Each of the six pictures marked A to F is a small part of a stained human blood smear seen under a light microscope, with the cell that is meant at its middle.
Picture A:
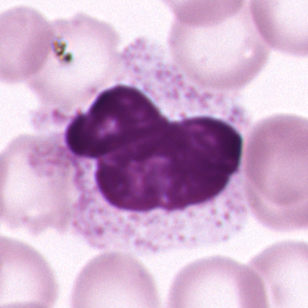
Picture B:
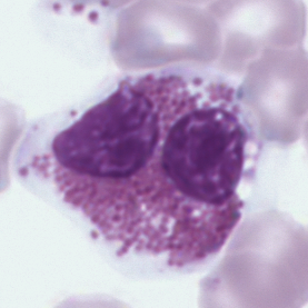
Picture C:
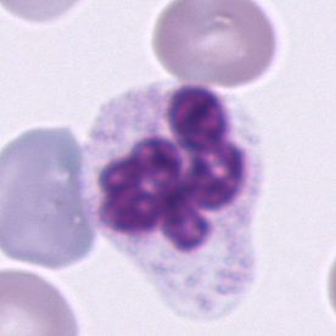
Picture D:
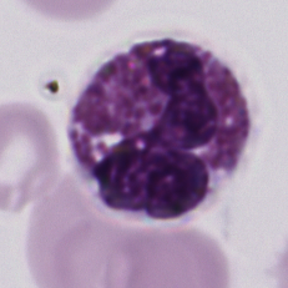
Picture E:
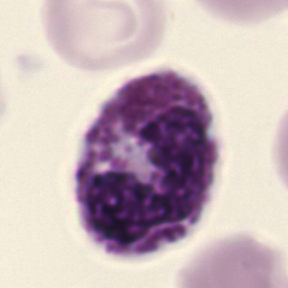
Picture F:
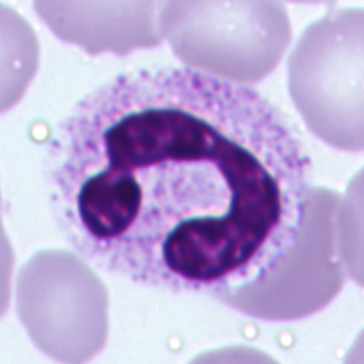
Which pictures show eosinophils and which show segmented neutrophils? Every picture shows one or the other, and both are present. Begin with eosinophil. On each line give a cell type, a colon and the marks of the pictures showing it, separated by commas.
eosinophil: B, D, E
segmented neutrophil: A, C, F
